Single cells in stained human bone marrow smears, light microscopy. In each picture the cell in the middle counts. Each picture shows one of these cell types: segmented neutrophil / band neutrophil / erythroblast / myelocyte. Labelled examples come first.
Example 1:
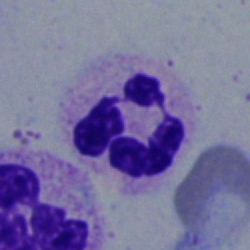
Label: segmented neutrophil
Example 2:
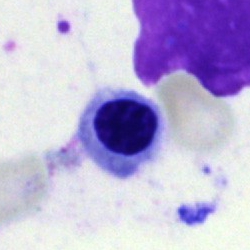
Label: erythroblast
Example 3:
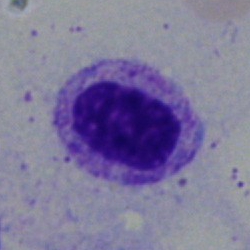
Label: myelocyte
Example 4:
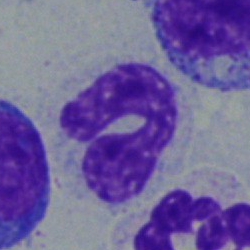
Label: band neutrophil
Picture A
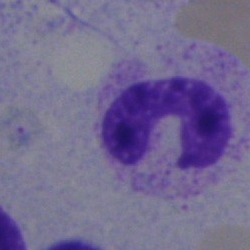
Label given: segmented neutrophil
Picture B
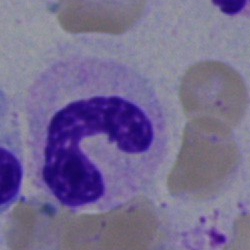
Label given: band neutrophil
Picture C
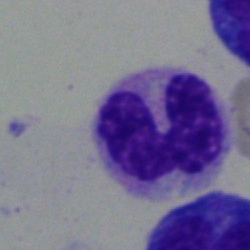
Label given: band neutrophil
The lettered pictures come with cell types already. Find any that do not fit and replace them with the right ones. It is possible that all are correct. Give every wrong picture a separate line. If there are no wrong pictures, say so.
A: change segmented neutrophil to band neutrophil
